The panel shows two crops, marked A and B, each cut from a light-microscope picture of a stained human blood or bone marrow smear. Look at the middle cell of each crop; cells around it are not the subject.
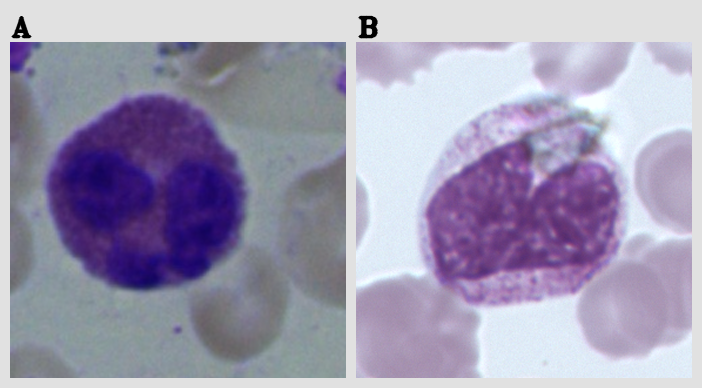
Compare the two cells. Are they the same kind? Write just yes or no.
no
